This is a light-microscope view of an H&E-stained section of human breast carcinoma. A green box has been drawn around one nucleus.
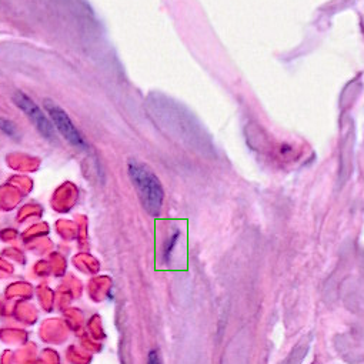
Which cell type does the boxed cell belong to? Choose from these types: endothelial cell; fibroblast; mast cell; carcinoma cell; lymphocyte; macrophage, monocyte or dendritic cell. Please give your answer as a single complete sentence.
Among the cells in this section, the boxed cell is a fibroblast.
